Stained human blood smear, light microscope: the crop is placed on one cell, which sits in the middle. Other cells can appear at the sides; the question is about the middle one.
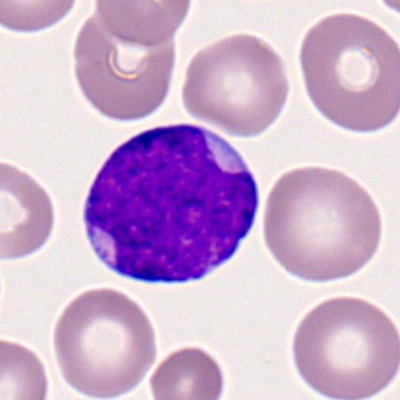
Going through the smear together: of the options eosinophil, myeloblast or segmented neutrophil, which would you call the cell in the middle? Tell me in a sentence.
The cell positioned in the middle of the field is a myeloblast.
